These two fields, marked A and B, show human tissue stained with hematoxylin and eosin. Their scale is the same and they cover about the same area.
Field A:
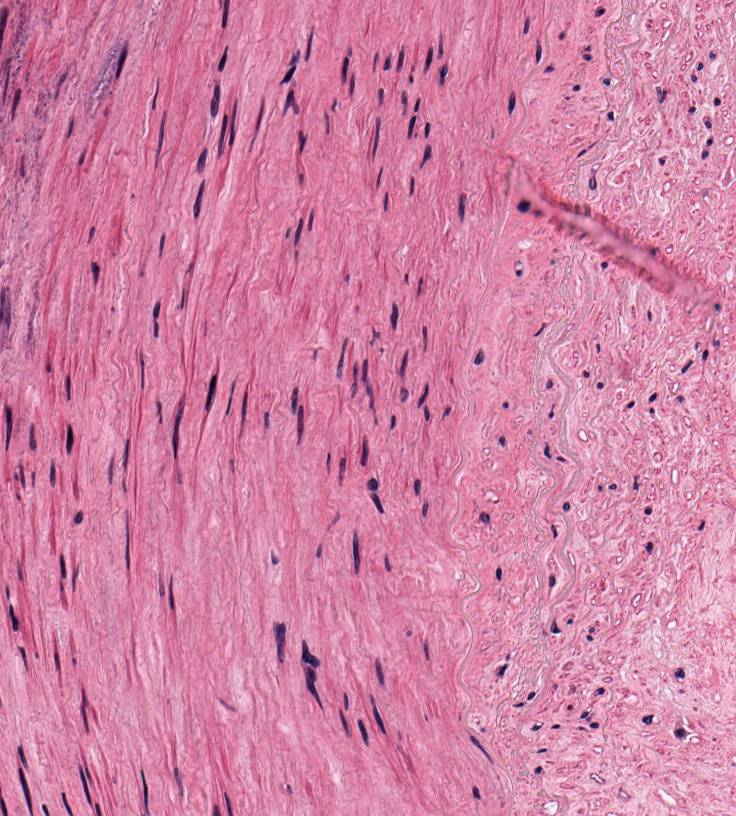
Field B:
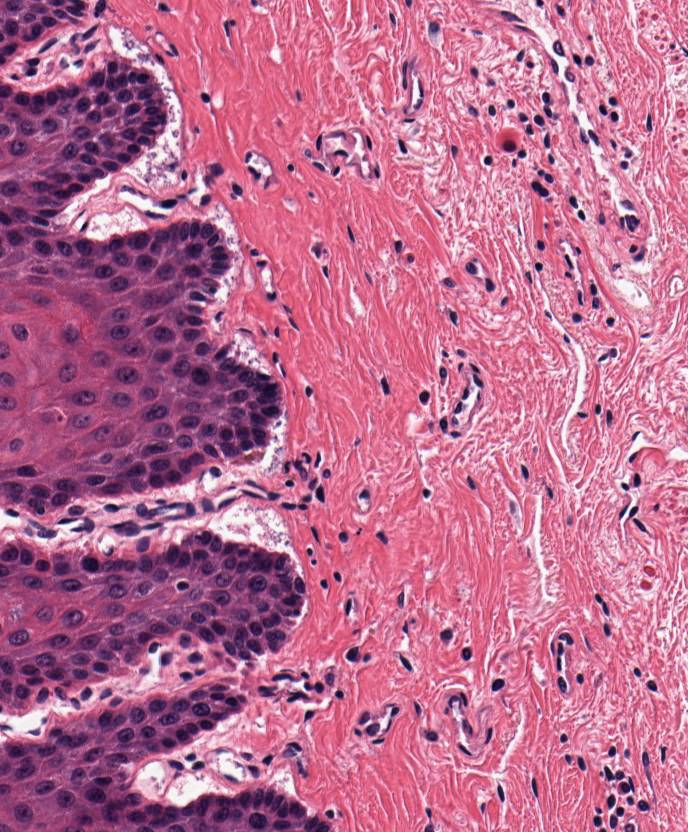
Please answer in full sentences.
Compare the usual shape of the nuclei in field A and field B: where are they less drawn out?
The nuclei are rounder in field B.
